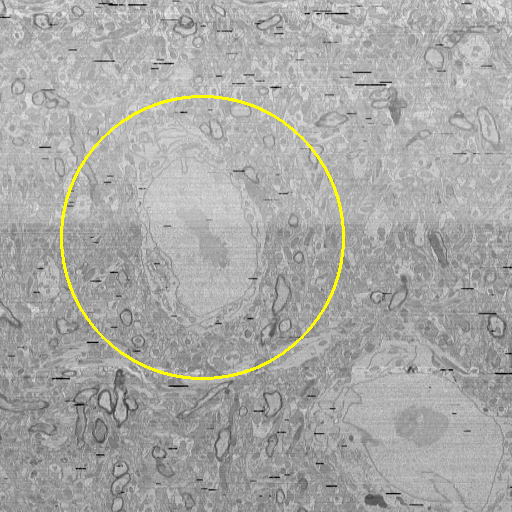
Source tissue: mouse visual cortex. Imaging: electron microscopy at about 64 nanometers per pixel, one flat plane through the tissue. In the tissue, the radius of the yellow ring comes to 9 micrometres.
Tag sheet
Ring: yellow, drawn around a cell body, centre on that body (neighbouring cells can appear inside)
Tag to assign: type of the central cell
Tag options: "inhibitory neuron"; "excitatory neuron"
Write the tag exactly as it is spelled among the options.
inhibitory neuron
